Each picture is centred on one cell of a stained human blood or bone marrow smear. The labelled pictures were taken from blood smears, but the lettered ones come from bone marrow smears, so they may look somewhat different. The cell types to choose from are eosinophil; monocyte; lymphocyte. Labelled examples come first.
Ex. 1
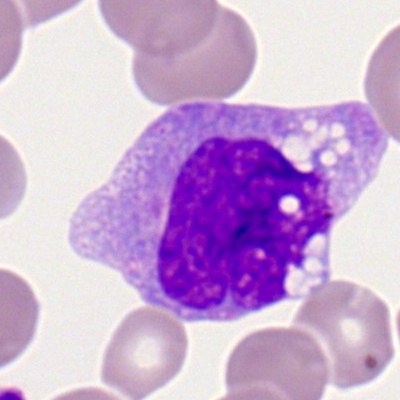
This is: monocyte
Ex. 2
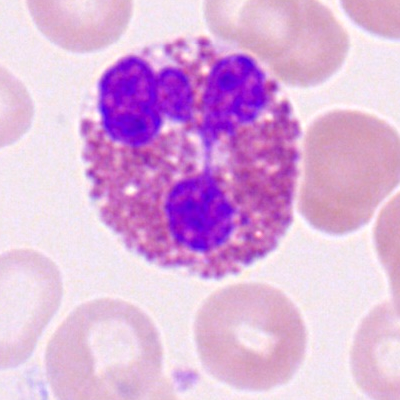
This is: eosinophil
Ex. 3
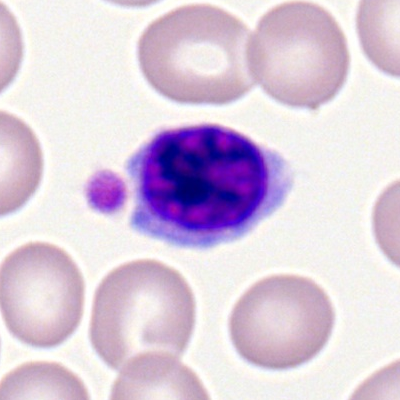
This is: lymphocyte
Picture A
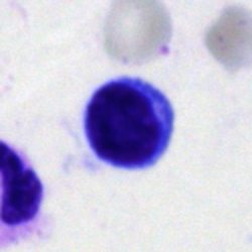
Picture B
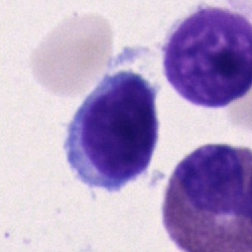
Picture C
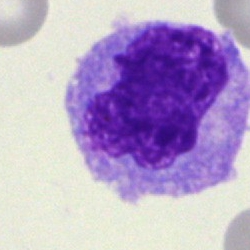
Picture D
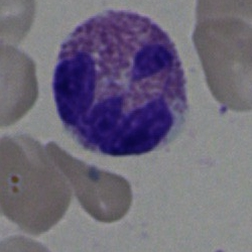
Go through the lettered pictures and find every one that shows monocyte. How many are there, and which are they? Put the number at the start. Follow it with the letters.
1, namely C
